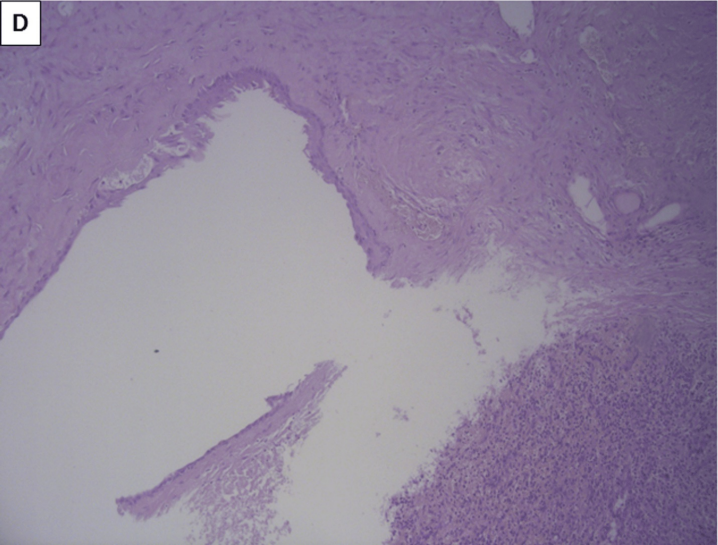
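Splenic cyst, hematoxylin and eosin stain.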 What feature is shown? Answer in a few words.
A: Stratified epithelial lining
